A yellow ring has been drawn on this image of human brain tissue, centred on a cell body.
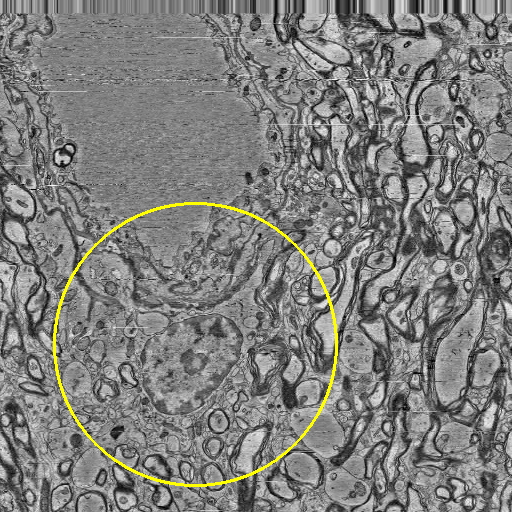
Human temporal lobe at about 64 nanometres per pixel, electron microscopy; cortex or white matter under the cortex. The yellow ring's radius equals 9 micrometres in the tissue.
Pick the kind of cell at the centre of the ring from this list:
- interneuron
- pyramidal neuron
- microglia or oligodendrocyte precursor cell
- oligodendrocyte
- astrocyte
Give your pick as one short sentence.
The centre of the ring holds a microglial cell or oligodendrocyte precursor cell.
